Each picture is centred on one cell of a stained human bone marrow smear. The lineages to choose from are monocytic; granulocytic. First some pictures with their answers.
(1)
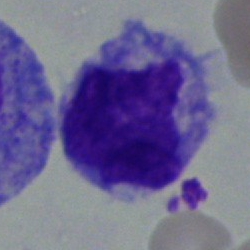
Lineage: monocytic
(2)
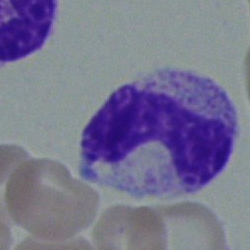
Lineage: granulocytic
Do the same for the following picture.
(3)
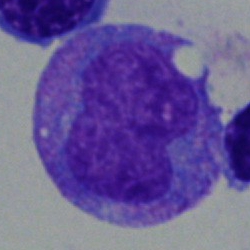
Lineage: monocytic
